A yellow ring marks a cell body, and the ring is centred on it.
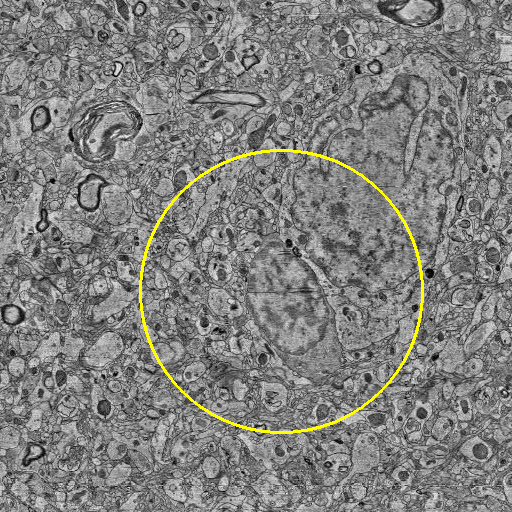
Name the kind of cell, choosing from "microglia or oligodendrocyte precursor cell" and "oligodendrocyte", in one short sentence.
The marked cell body belongs to an oligodendrocyte.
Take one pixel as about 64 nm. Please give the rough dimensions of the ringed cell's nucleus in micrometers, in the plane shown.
About 7 by 5 micrometres in this plane.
